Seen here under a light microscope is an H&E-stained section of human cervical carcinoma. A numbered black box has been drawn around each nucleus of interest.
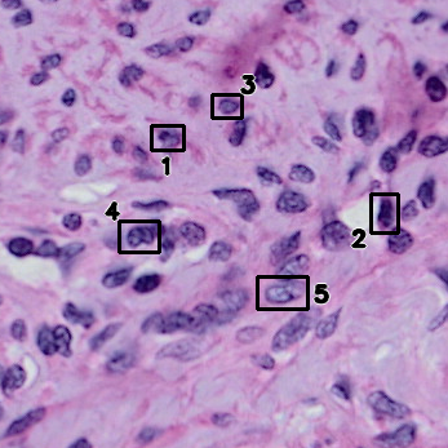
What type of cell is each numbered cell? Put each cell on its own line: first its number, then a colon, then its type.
1: smooth muscle cell
2: lymphocyte
3: smooth muscle cell
4: lymphocyte
5: endothelial cell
